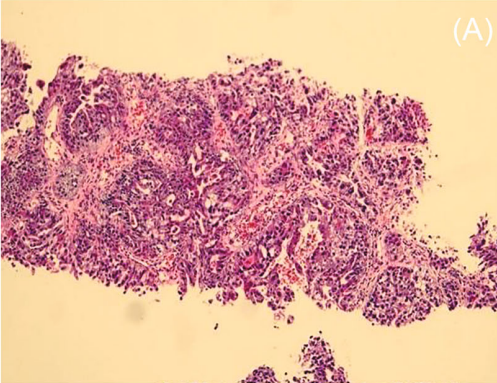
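This low-power view of a small tissue strip shows tumour tissue built of many rounded and irregular nests of closely packed cells with purple nuclei. Between the nests lies paler pink fibrous stroma. Inside several nests you can find small open spaces, giving a gland-like or sieve-like look. Scattered bright red patches are blood.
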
